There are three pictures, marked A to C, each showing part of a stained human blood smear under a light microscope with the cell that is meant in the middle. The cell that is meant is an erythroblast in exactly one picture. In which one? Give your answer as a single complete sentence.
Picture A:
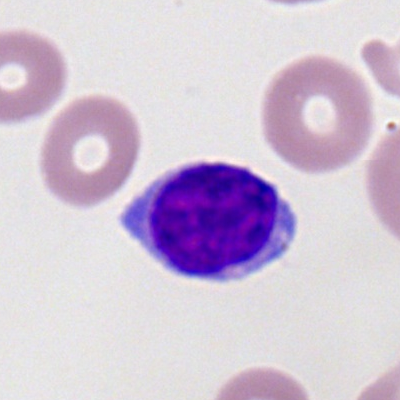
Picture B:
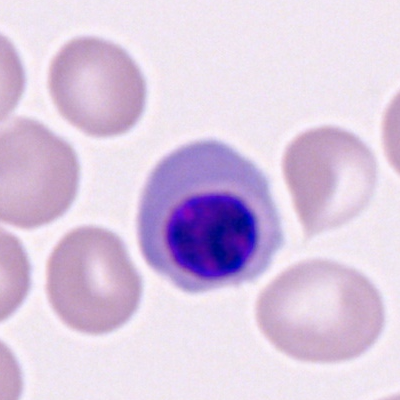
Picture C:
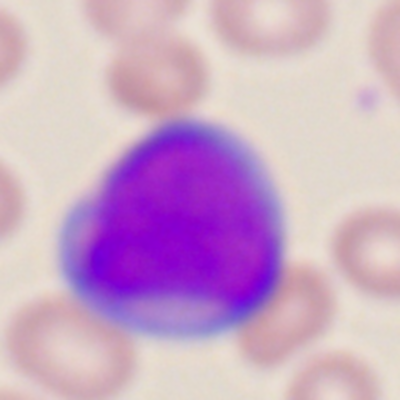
Picture B shows the erythroblast.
